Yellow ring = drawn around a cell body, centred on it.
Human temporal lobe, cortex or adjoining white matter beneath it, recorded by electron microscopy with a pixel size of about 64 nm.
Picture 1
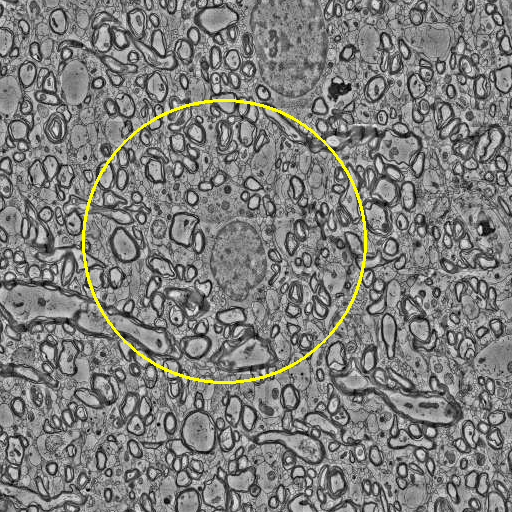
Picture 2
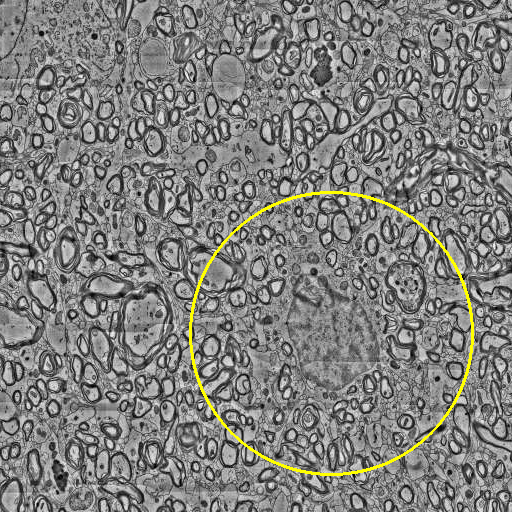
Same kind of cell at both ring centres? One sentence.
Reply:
Yes, they are the same kind of cell.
